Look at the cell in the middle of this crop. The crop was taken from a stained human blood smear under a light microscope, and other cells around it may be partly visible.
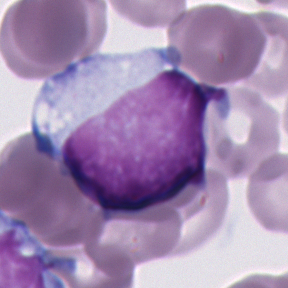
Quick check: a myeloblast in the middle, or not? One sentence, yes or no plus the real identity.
Yes, the cell in the middle is rightly called a myeloblast.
